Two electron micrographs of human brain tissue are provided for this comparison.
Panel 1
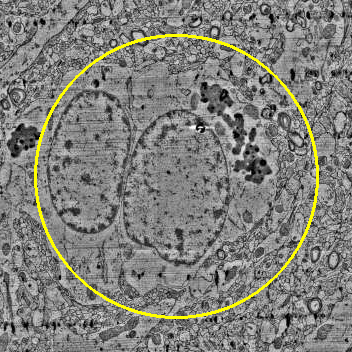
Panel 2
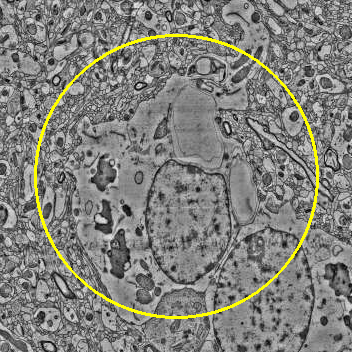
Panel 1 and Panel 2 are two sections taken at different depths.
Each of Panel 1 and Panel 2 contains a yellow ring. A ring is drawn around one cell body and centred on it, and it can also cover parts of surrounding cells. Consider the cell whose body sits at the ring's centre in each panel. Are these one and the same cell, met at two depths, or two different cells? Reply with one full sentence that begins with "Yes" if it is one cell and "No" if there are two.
No, the rings surround different cells rather than one cell.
